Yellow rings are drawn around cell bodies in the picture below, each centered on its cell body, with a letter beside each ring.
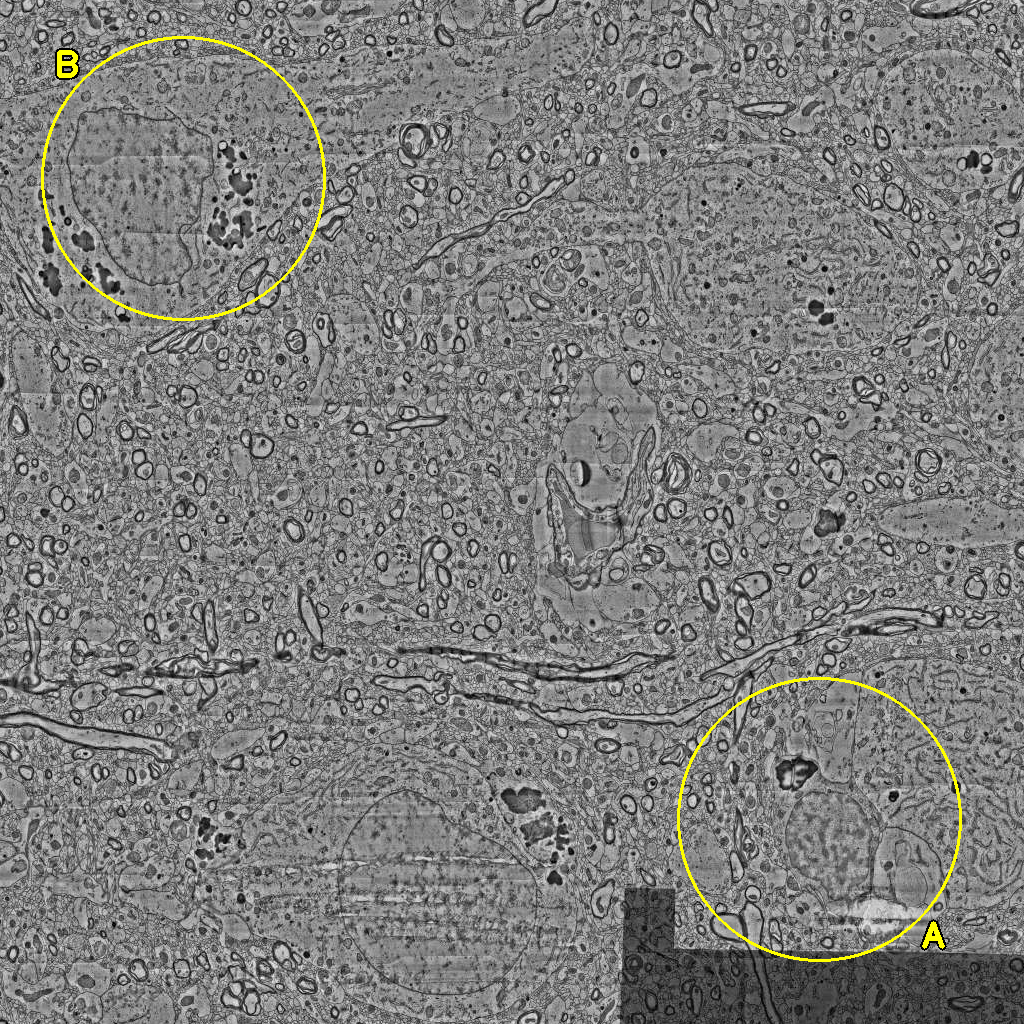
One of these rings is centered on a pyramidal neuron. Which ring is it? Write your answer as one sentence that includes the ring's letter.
It is ring B.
